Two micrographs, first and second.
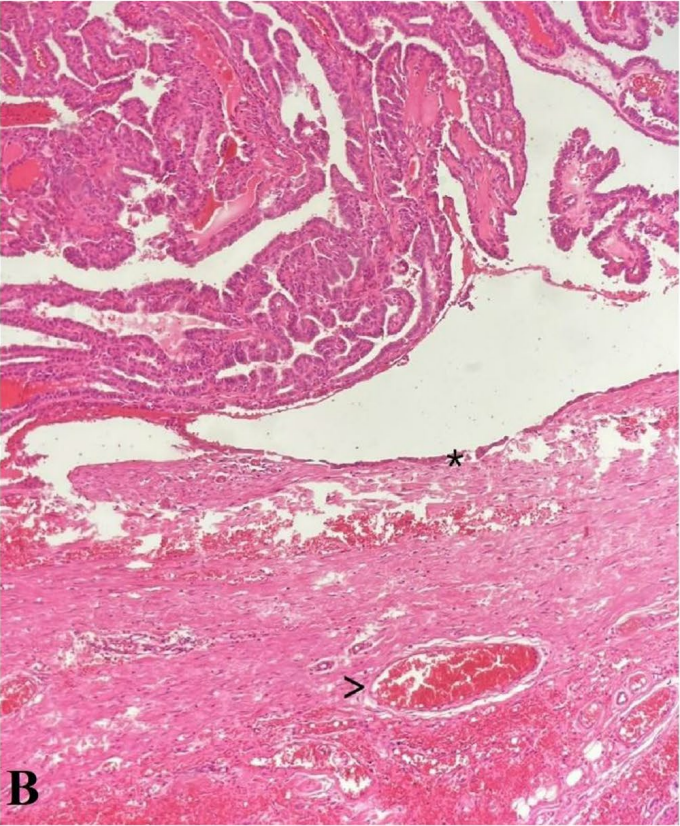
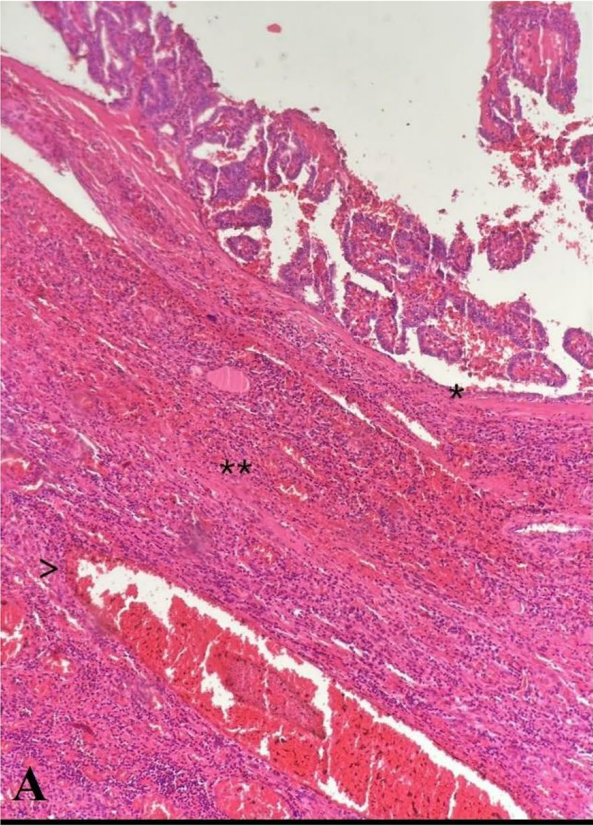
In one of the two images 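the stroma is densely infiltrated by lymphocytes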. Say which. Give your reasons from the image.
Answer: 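First image: the fibrous stroma below the tumour is pale pink with few scattered nuclei. Second image: the stroma below the tumour is packed with small dark round nuclei.
The second image.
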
